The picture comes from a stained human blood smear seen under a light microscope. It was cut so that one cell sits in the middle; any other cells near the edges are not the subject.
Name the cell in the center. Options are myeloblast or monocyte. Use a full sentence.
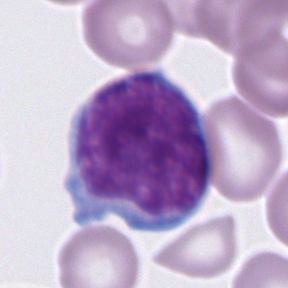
Classification of the middle cell gives a myeloblast.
